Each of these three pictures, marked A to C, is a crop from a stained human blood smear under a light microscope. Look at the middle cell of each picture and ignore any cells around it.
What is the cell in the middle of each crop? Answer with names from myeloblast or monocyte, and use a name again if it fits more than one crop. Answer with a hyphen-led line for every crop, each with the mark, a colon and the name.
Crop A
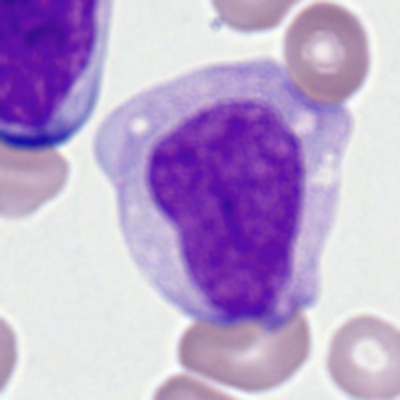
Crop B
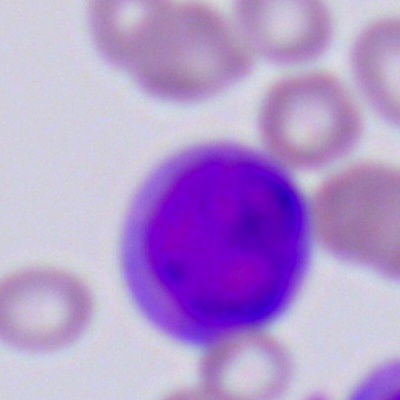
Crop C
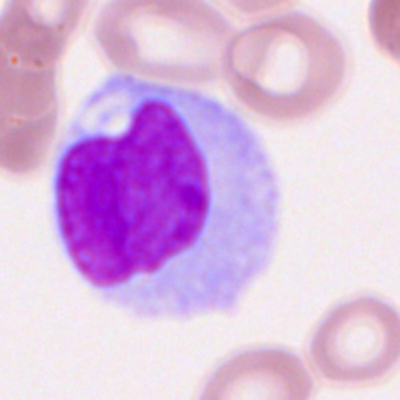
- A: monocyte
- B: myeloblast
- C: monocyte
